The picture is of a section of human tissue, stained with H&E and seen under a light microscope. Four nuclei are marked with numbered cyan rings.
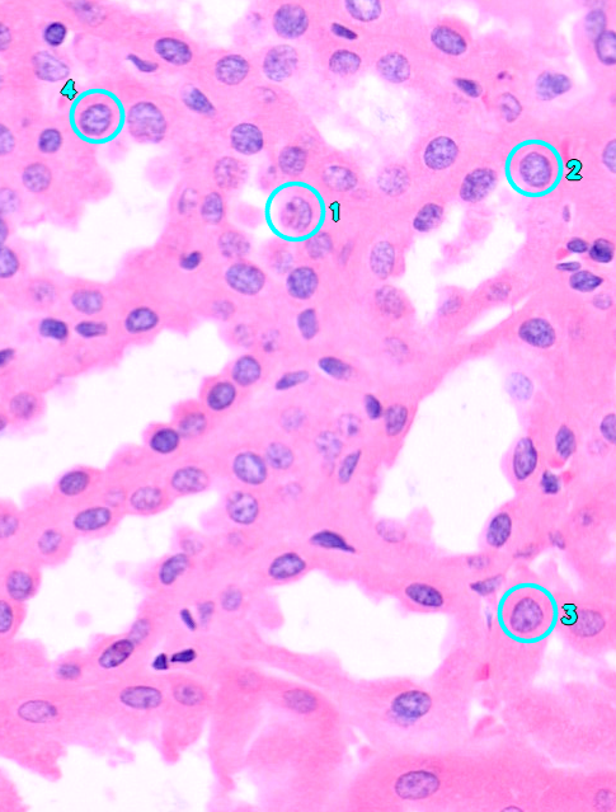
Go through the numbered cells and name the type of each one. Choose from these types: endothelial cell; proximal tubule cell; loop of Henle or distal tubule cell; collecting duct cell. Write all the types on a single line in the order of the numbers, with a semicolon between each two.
loop of Henle or distal tubule cell; loop of Henle or distal tubule cell; proximal tubule cell; loop of Henle or distal tubule cell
